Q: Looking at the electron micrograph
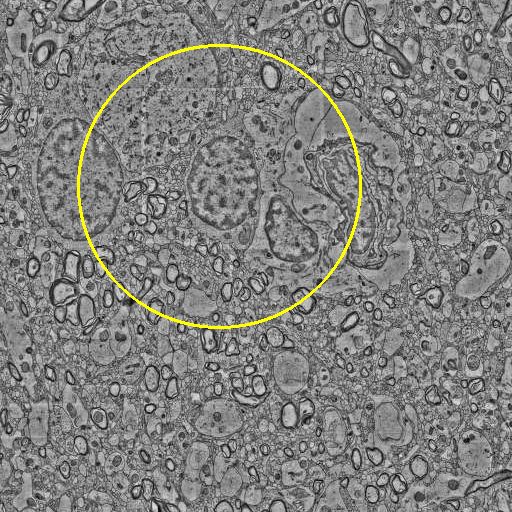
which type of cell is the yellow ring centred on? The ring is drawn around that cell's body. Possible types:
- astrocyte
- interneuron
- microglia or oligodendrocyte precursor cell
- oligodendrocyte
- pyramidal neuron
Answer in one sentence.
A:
The yellow ring is centred on an oligodendrocyte.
